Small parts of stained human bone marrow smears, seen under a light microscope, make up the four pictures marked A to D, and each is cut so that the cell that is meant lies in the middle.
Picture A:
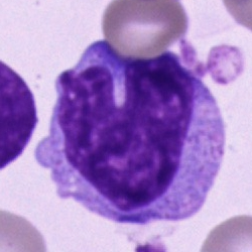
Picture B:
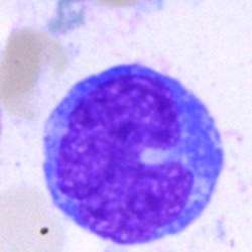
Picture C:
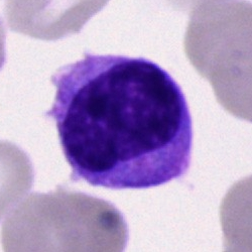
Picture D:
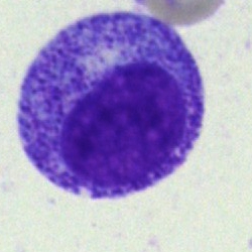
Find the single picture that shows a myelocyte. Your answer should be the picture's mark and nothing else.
D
